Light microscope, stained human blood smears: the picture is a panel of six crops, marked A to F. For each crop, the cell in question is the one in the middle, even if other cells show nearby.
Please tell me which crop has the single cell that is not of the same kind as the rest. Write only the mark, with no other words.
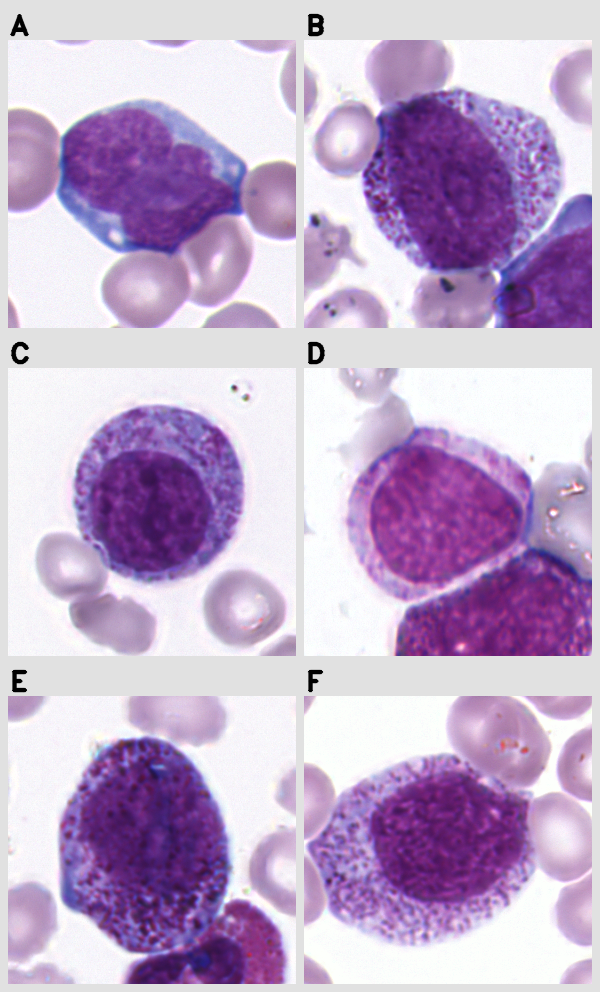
A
